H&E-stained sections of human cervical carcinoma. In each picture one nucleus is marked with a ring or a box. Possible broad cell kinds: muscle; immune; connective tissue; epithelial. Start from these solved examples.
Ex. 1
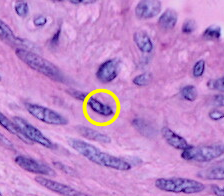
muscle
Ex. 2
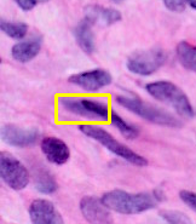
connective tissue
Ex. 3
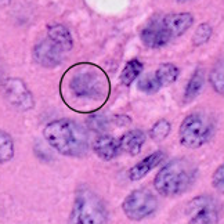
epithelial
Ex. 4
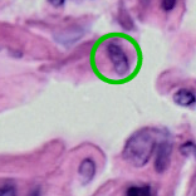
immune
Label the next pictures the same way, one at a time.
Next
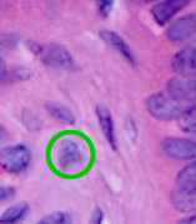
connective tissue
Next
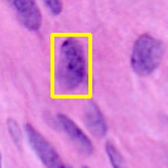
connective tissue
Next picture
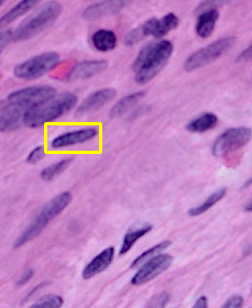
connective tissue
